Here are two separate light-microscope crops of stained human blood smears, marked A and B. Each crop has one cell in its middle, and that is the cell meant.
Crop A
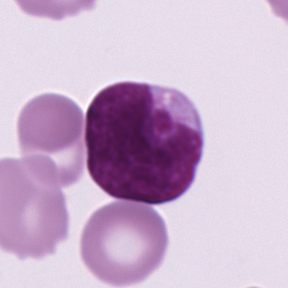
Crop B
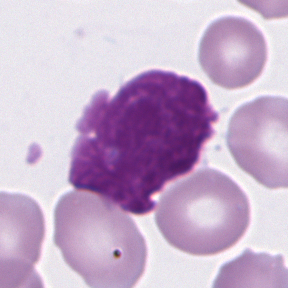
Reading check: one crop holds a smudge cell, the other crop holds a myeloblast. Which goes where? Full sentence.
Okay, so crop A is a myeloblast and crop B is a smudge cell.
